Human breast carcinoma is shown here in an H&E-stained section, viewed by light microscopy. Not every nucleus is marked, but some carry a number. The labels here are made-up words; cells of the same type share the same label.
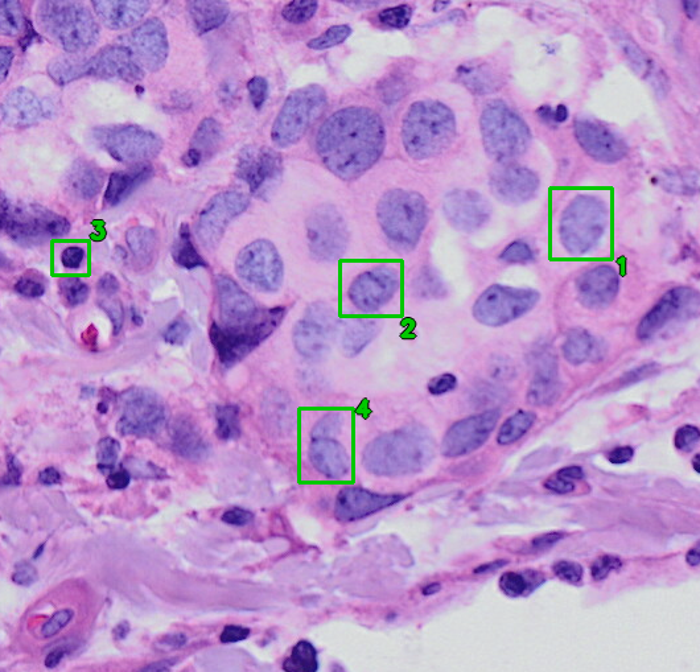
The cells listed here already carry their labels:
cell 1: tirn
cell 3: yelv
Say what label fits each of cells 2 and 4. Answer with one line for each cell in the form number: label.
2: tirn
4: tirn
